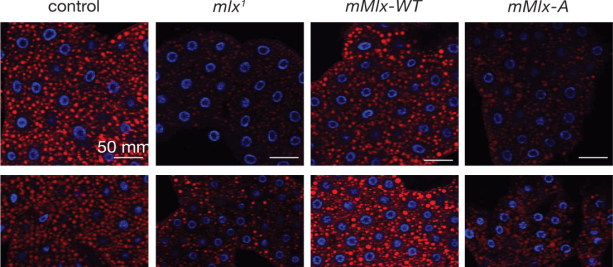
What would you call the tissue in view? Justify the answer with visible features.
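Fat body. Large cells with round nuclei spaced at regular intervals. Cytoplasm packed with many round red droplets.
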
